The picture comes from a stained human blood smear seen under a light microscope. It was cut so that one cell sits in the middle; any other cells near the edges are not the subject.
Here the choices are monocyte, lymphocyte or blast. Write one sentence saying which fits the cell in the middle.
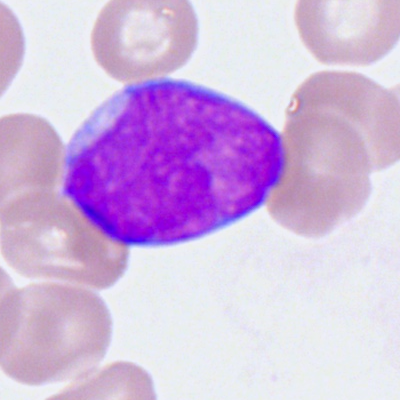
The target cell in the middle of the crop is a blast.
